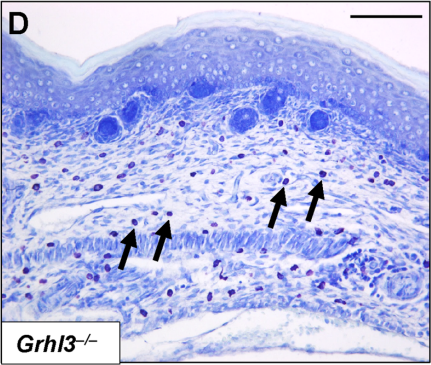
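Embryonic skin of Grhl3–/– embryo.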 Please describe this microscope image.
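Above lies a stratified epidermis with a pale layer on its surface and several round hair follicle buds budding from its base. The dermis is loose with spindle-shaped fibroblast nuclei, and beneath it runs a band of elongated cells in parallel.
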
